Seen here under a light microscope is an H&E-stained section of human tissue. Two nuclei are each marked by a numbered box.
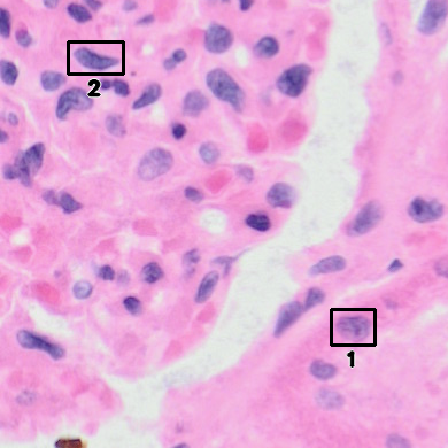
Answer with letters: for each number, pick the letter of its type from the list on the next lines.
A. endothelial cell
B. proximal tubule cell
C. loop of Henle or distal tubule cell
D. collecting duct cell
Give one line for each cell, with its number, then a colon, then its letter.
1: B
2: A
